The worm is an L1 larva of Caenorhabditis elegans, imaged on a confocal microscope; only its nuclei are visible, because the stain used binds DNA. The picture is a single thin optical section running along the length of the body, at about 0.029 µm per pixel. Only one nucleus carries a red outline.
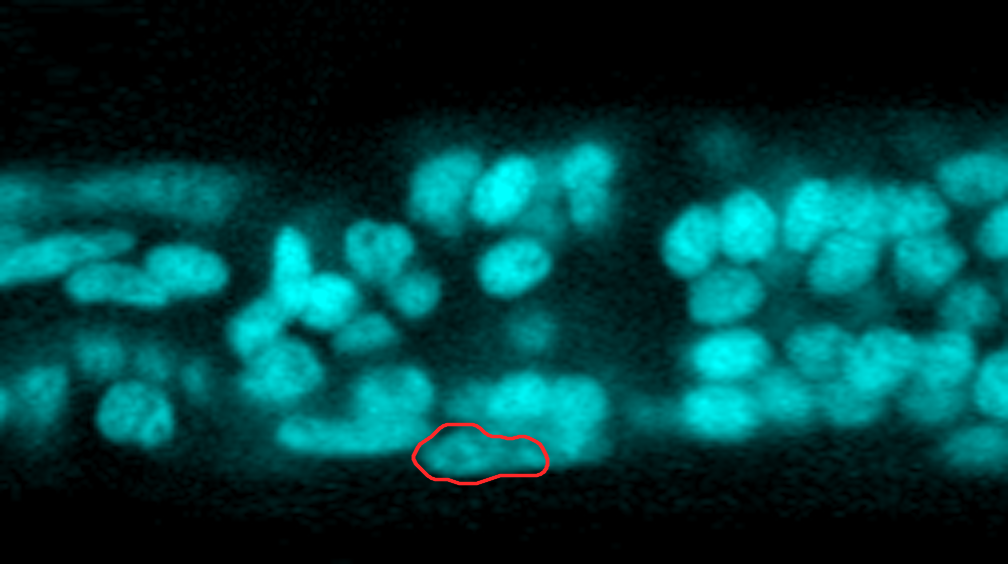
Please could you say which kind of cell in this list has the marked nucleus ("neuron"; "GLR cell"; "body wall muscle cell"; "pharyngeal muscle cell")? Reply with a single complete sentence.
It belongs to a body wall muscle cell.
